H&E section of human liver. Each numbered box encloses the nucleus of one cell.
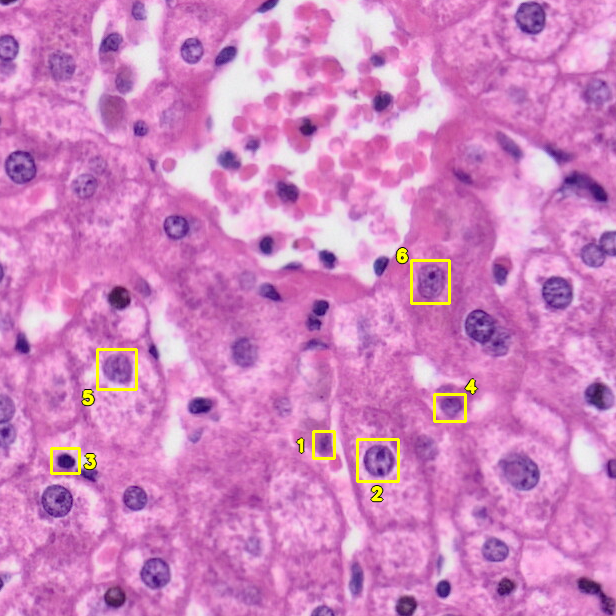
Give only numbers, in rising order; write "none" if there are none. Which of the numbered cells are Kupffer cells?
1, 4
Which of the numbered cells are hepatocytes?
2, 5, 6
